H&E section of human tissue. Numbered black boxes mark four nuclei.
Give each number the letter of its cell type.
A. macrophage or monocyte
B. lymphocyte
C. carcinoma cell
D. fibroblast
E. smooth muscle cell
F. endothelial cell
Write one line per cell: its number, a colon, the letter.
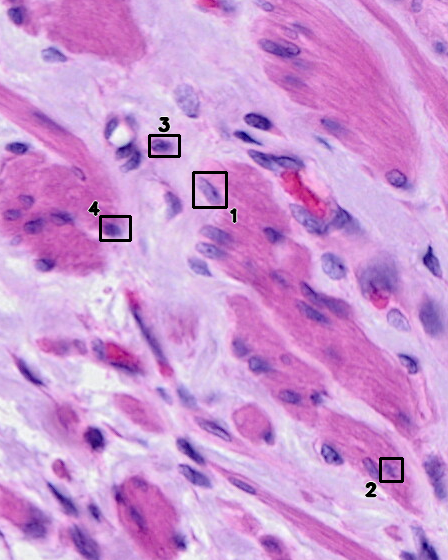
1: E
2: E
3: F
4: E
